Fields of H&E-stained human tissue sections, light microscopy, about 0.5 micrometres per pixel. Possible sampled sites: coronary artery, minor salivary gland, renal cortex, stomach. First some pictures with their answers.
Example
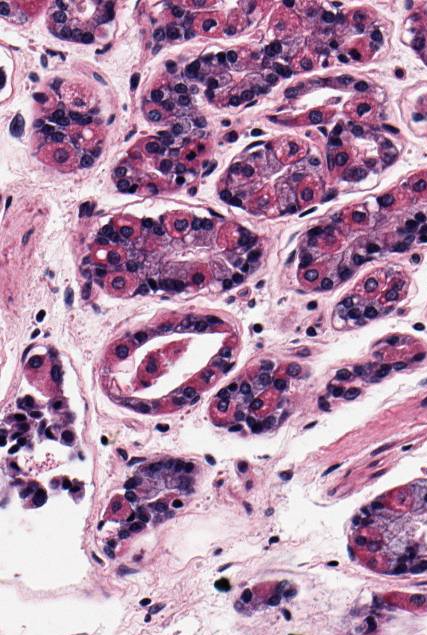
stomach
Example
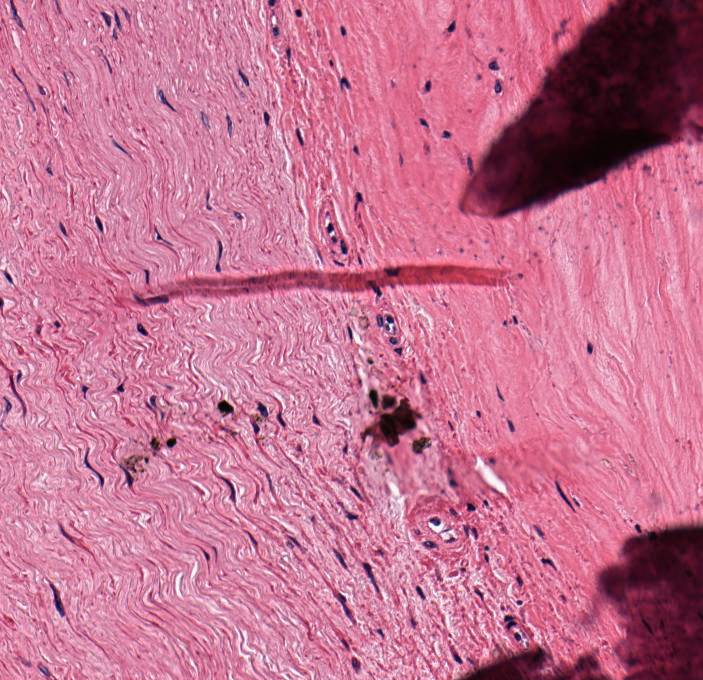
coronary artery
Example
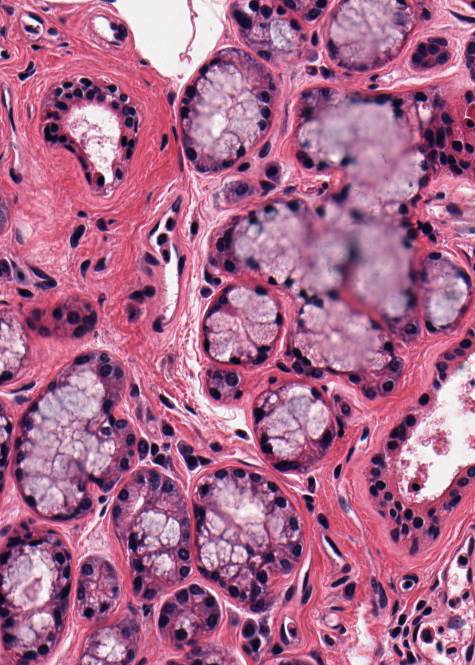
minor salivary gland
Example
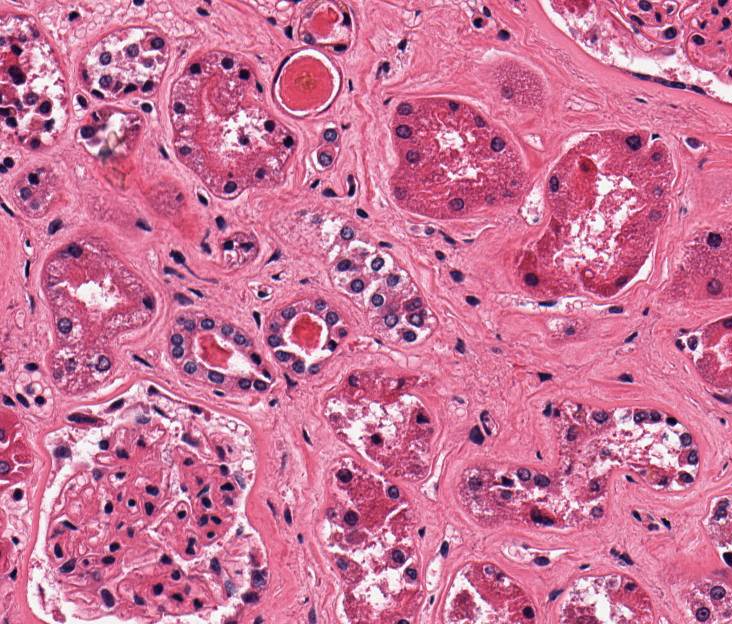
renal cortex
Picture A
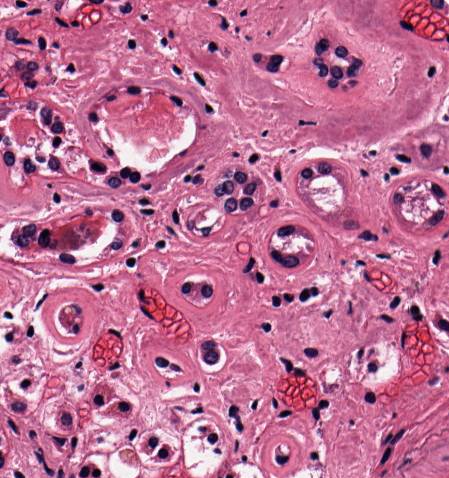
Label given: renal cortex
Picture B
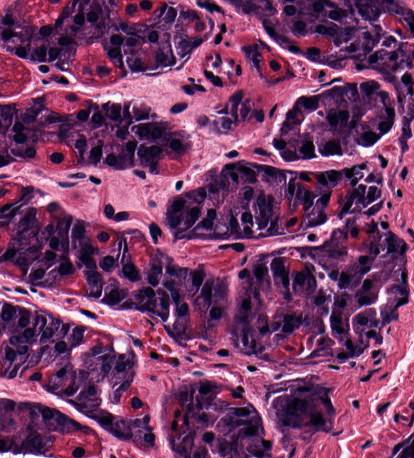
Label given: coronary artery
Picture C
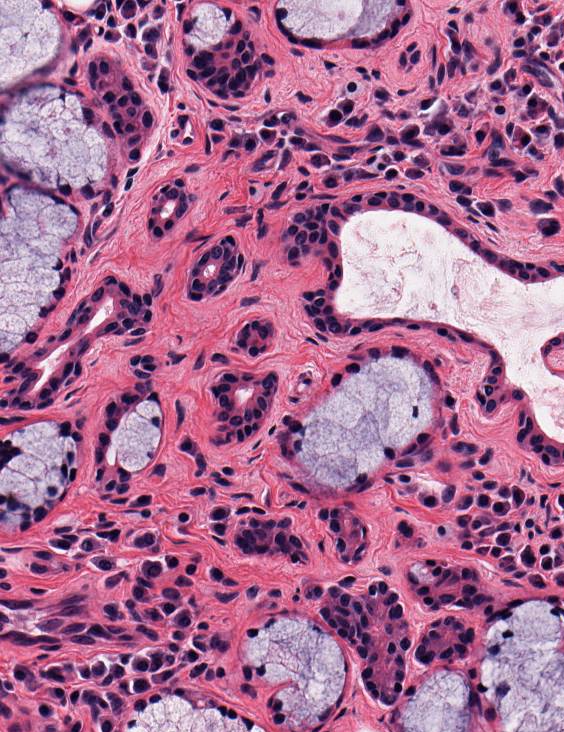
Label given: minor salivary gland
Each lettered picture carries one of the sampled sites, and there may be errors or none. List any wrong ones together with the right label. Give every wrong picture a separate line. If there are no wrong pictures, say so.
B is labelled coronary artery; correct label: stomach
